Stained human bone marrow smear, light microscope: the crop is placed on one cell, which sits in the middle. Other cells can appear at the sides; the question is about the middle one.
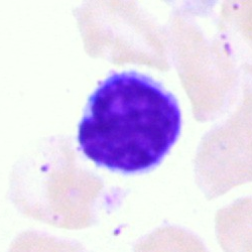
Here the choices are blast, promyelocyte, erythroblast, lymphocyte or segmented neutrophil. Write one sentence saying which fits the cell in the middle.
The center cell of this crop is a lymphocyte.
